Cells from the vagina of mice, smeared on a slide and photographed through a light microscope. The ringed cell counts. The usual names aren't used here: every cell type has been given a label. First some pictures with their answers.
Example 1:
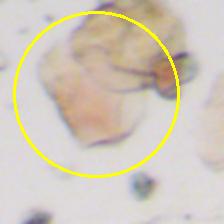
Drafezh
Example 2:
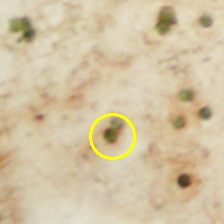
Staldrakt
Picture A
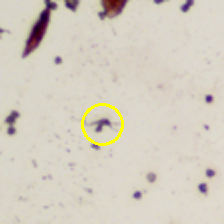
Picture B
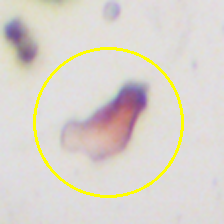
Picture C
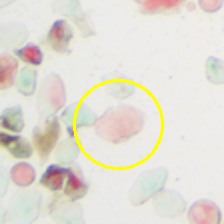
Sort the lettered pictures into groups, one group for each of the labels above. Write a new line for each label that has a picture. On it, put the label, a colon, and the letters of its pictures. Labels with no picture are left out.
Drafezh: B, C
Staldrakt: A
